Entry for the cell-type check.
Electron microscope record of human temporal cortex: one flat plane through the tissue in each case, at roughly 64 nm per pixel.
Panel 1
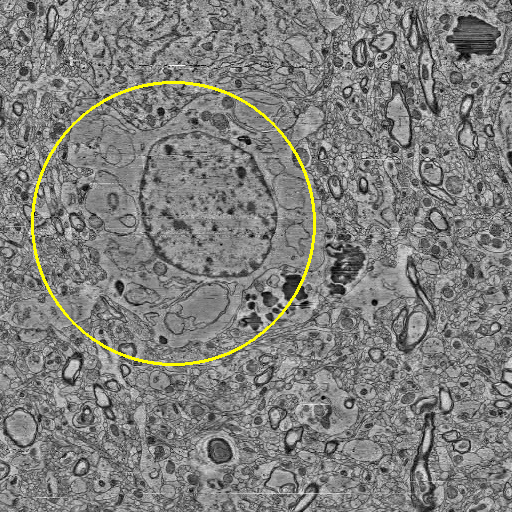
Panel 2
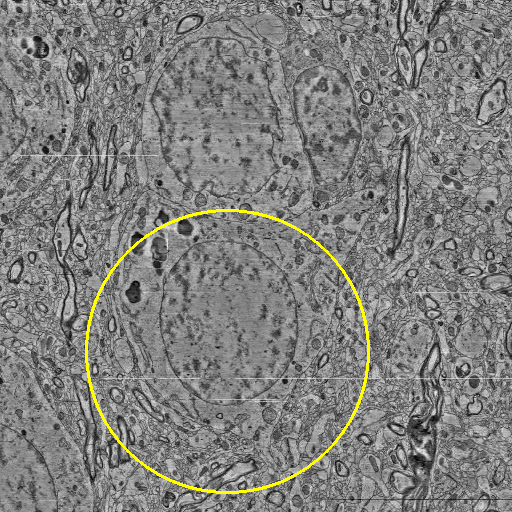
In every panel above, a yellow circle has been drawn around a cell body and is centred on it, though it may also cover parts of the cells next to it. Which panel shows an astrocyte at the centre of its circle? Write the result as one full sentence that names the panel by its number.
Panel 1 shows it at the centre of its circle.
